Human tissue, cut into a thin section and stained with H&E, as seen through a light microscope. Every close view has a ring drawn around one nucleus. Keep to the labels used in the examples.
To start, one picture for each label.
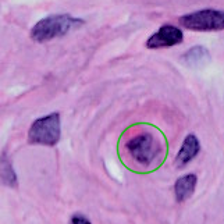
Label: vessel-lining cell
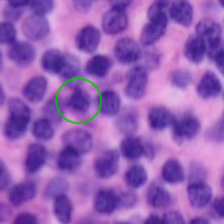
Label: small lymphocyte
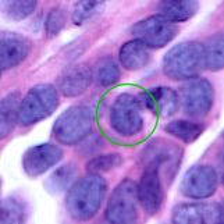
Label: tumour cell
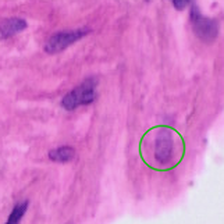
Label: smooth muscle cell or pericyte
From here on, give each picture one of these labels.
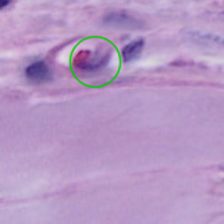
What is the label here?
vessel-lining cell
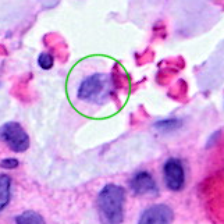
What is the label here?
vessel-lining cell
